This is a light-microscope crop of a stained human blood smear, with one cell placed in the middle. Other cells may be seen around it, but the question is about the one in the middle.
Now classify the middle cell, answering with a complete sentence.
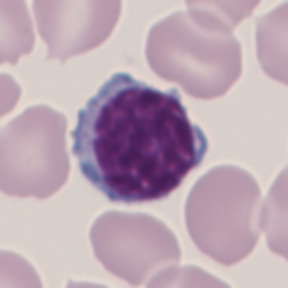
At the crop's centre, the cell is a typical lymphocyte.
